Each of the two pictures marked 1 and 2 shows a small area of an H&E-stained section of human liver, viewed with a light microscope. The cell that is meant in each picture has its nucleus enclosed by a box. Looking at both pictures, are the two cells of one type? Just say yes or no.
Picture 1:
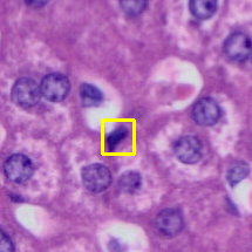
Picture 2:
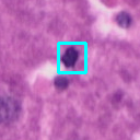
yes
